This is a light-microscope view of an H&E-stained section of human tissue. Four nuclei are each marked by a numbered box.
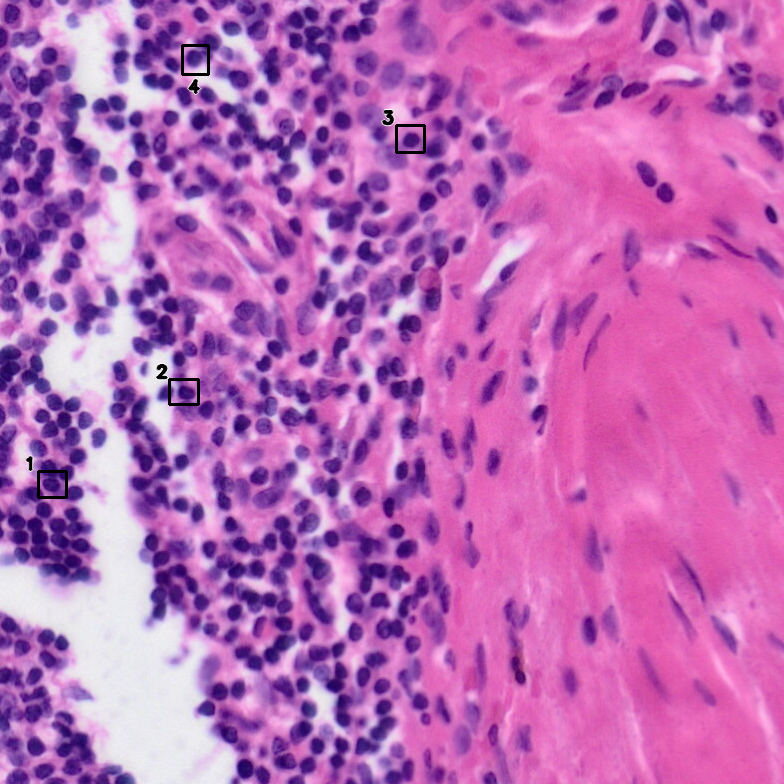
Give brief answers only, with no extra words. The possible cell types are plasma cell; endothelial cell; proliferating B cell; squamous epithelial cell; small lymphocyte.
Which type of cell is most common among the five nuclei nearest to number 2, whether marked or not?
proliferating B cell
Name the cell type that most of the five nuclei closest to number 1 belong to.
small lymphocyte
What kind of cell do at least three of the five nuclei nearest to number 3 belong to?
endothelial cell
